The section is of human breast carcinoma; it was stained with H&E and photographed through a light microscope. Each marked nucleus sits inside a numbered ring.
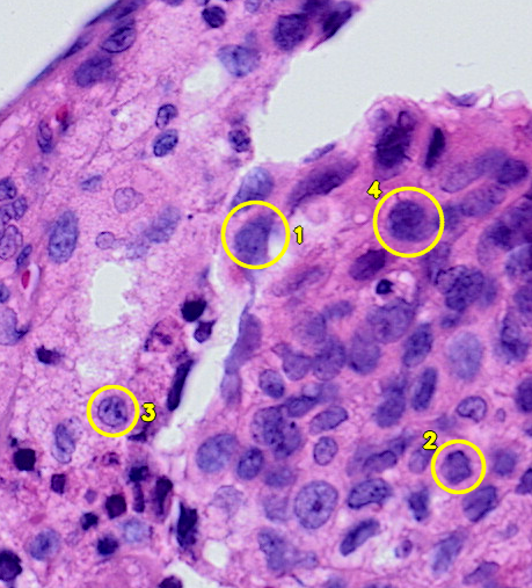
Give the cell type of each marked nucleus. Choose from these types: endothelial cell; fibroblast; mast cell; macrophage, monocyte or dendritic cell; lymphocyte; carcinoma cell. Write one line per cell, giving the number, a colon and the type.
1: carcinoma cell
2: carcinoma cell
3: macrophage, monocyte or dendritic cell
4: carcinoma cell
